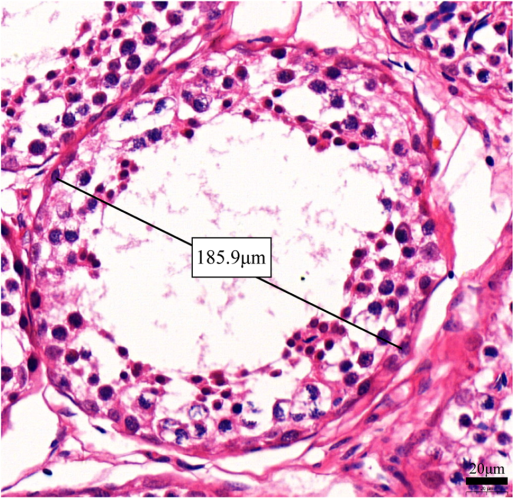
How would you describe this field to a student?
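A seminiferous tubule of the testis is cut in cross-section, with a wide central lumen holding faint pink, wispy material. Its wall is a spermatogenic epithelium several cells deep, made of rounded cells with dark purple nuclei set in pale pink cytoplasm. The cells lie in irregular layers between the outer boundary and the lumen, with smaller, darker nuclei toward the lumen side in places. A thin pink boundary with flattened, elongated nuclei encircles the tubule. Outside it lies pink interstitial tissue and parts of neighbouring tubules.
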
